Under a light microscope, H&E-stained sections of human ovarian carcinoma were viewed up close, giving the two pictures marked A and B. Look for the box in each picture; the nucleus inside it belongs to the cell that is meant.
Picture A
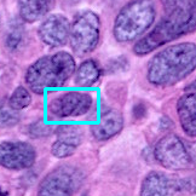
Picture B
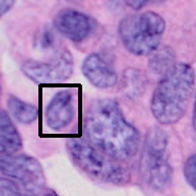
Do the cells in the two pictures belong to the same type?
no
